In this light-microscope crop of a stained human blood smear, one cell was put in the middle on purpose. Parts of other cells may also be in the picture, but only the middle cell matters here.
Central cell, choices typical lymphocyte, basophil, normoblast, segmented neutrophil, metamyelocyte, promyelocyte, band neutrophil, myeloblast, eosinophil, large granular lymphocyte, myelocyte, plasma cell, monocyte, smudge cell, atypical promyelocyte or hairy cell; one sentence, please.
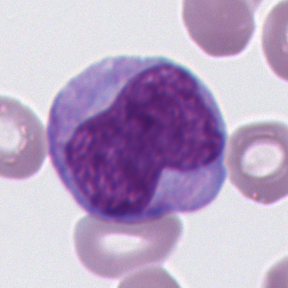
Where the crop is centred, there is an atypical promyelocyte.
